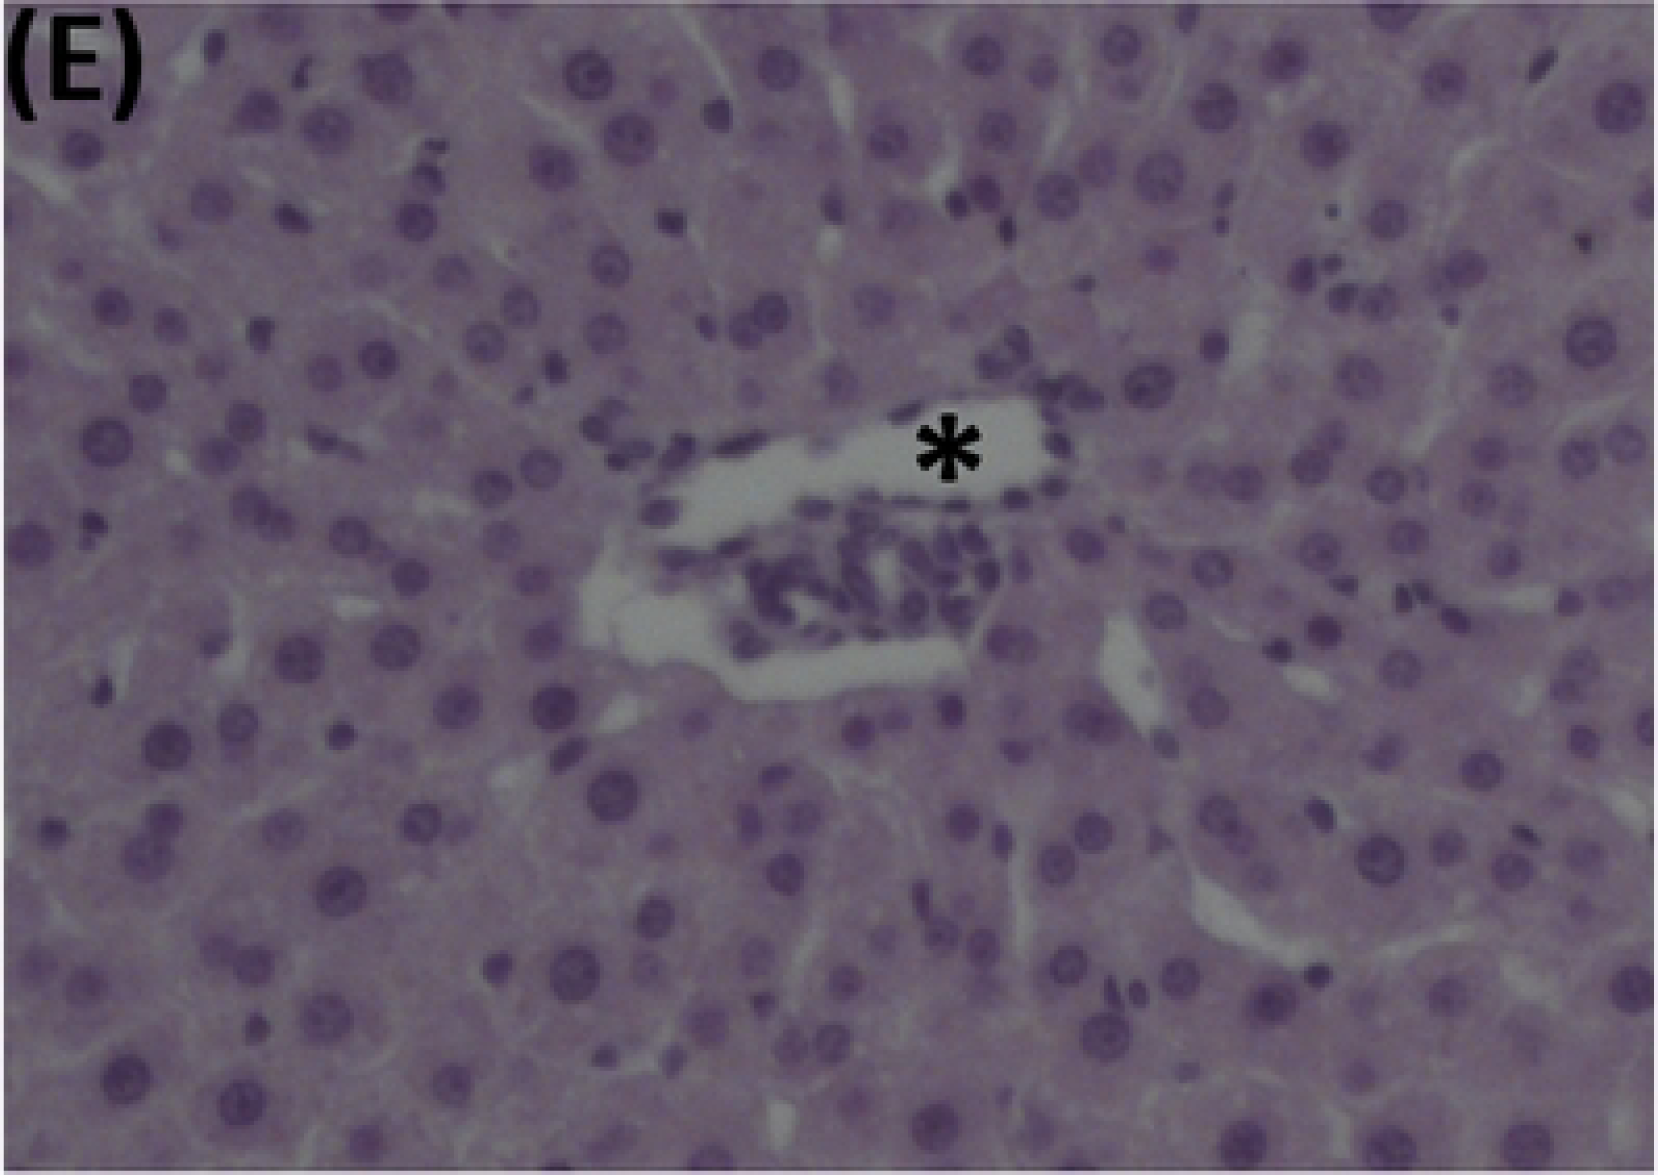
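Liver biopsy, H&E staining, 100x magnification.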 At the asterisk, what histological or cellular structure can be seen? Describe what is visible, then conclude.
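Portal vein. The asterisk lies in a flattened elongated lumen. Small dark nuclei crowd the tissue next to the lumen.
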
